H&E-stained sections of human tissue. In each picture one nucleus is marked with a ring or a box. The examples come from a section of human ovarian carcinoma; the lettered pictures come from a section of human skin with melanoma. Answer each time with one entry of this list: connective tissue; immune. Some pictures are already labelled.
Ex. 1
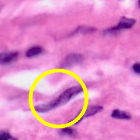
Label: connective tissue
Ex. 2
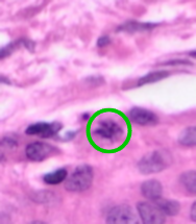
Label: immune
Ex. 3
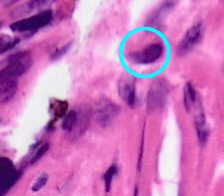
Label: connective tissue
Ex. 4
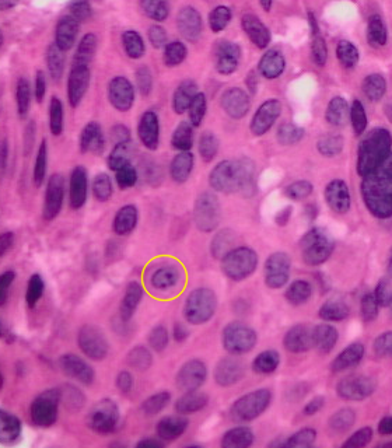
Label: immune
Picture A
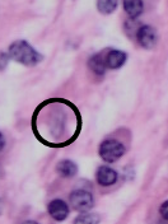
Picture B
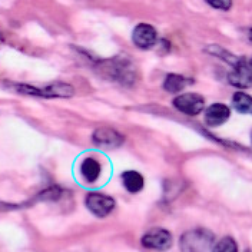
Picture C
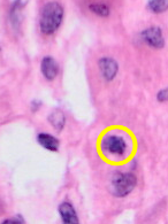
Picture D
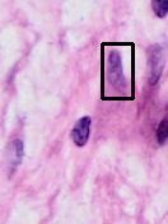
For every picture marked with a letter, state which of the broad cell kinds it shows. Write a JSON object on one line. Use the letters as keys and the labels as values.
{"A": "connective tissue", "B": "immune", "C": "immune", "D": "connective tissue"}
